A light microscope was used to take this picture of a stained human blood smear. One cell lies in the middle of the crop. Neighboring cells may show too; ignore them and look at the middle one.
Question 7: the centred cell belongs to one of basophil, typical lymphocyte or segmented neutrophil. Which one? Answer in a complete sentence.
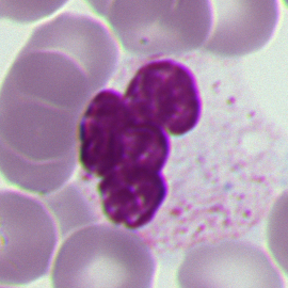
Centred in the crop is a segmented neutrophil.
